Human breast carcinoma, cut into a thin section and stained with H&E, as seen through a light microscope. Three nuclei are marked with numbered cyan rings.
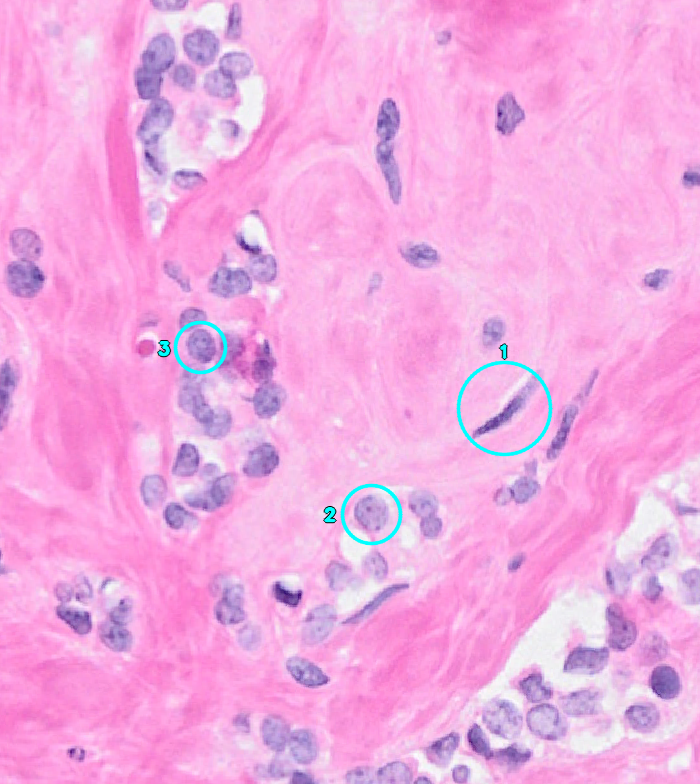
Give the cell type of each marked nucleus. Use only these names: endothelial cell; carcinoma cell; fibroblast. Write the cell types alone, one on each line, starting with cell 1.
fibroblast
carcinoma cell
carcinoma cell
